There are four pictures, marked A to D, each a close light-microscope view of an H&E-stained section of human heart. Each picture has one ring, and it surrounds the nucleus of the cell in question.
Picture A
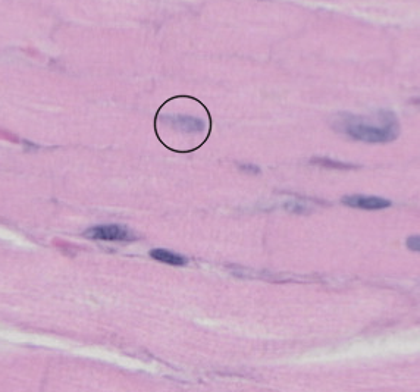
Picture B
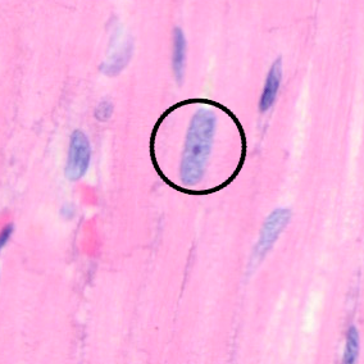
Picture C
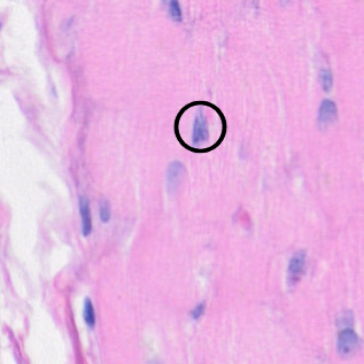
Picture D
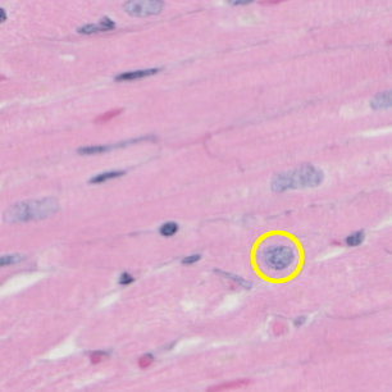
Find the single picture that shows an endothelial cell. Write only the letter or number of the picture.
C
